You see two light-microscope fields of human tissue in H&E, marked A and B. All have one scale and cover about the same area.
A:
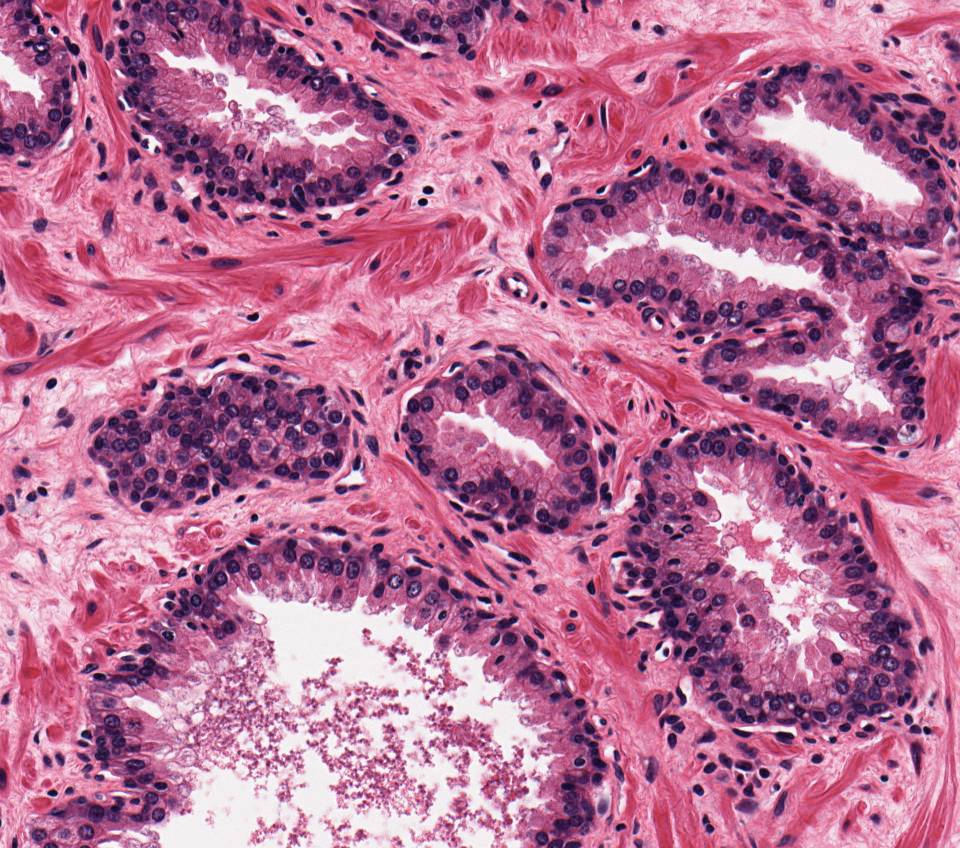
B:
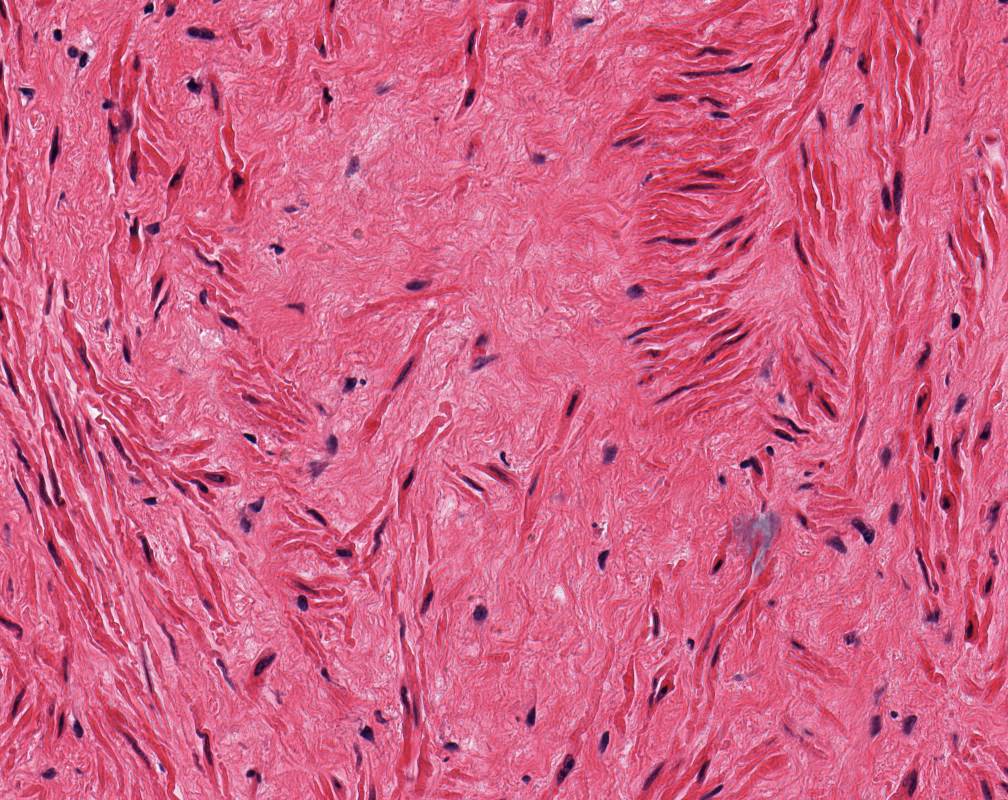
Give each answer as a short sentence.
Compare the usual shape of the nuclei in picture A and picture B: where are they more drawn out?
It is picture B whose nuclei are the more elongated.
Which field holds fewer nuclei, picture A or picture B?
It is picture B that has fewer nuclei in it.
